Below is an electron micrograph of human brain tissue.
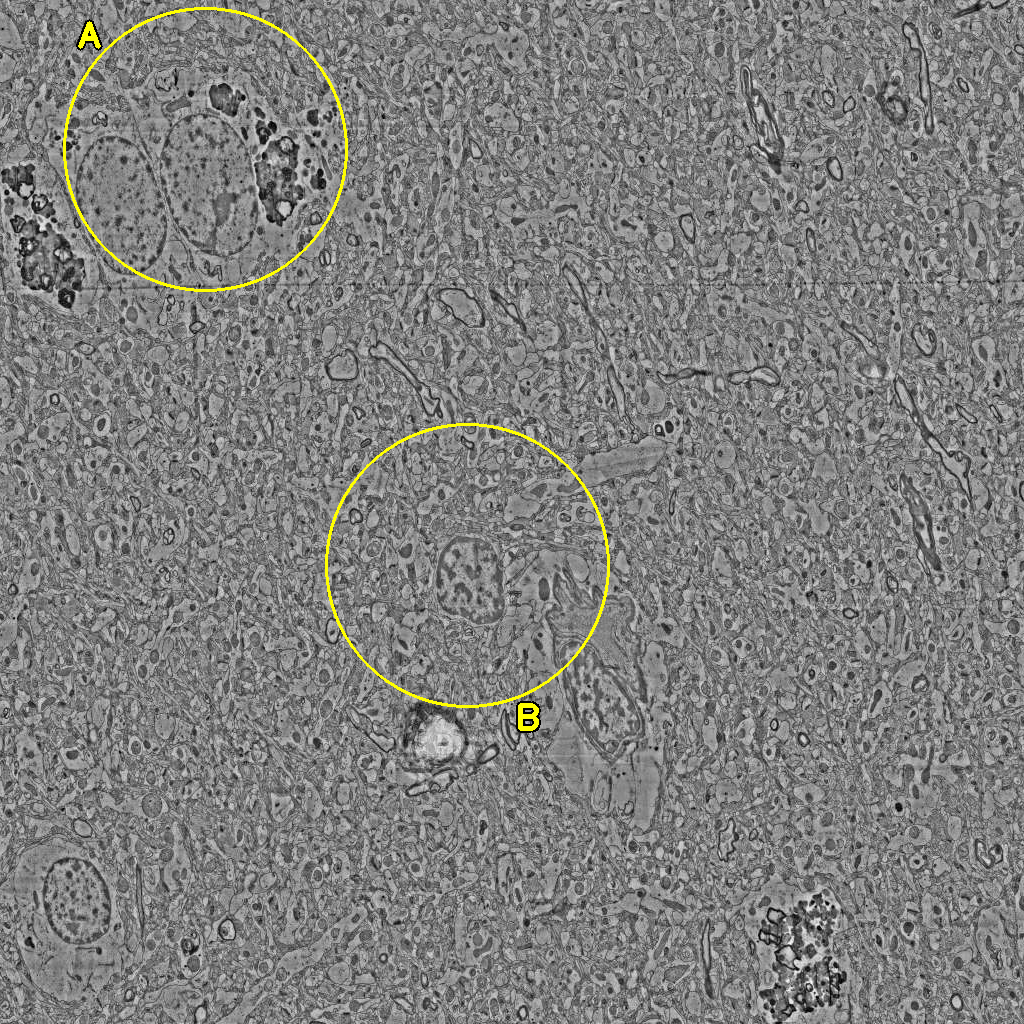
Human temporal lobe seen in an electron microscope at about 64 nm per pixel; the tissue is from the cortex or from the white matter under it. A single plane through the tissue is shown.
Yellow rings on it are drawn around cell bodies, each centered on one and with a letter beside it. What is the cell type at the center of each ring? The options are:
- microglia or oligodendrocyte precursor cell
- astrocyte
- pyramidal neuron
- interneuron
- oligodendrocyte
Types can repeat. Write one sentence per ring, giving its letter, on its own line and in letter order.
At the center of ring A is an astrocyte.
At the center of ring B is a microglial cell or oligodendrocyte precursor cell.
